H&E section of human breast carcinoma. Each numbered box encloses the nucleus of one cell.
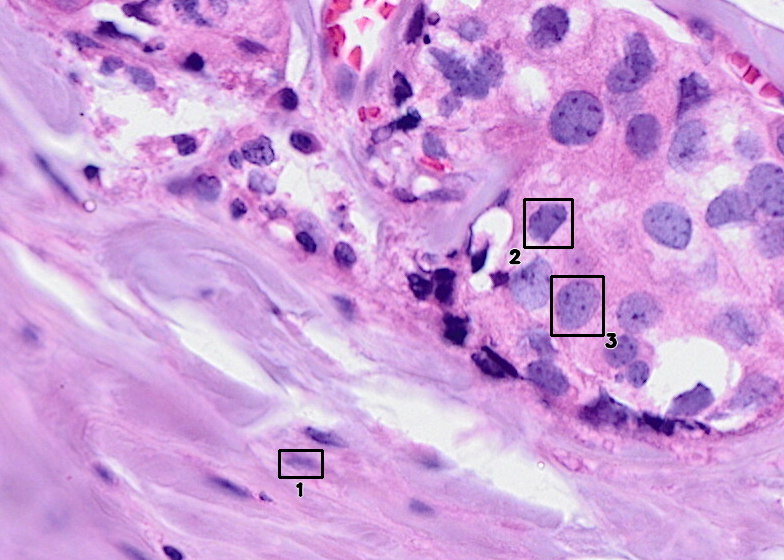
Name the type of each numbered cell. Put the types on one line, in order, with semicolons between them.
fibroblast; carcinoma cell; carcinoma cell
